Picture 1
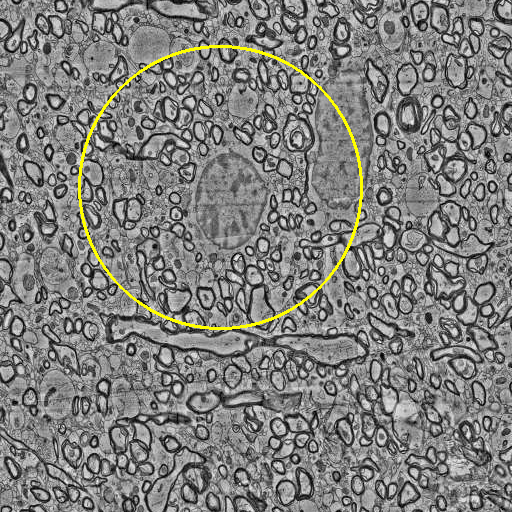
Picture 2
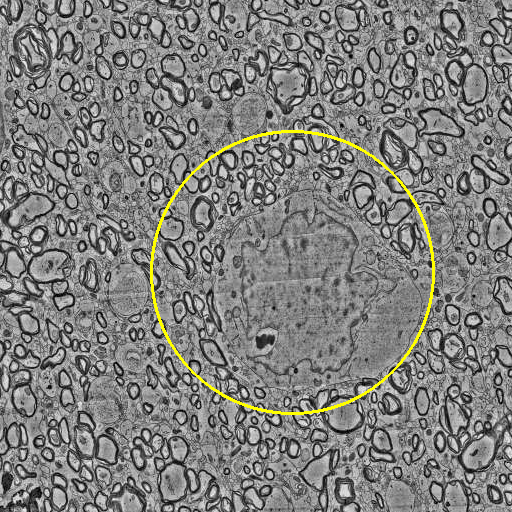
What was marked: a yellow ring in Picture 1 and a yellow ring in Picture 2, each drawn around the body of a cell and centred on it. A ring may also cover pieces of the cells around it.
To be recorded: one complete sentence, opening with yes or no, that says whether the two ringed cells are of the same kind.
No, the two ringed cells are of two kinds.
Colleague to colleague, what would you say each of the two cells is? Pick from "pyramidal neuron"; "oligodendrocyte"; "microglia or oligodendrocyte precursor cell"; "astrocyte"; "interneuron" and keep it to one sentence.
The cell in the first picture is an oligodendrocyte; the second picture's cell is an interneuron.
